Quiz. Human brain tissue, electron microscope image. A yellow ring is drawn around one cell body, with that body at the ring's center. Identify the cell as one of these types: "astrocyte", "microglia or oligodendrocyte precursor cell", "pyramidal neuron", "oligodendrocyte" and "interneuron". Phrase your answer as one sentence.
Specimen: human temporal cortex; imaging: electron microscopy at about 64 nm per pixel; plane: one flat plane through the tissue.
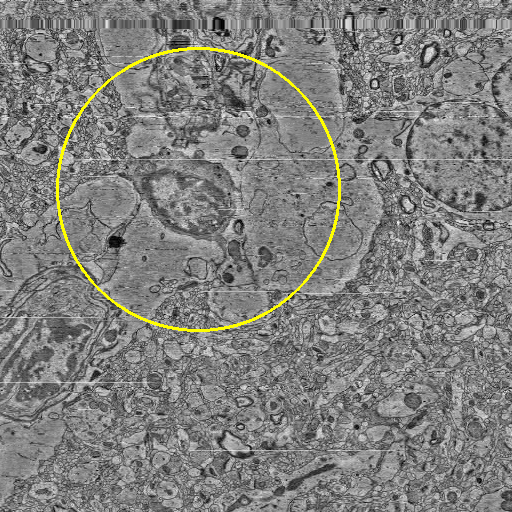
At the center of the ring sits an oligodendrocyte.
